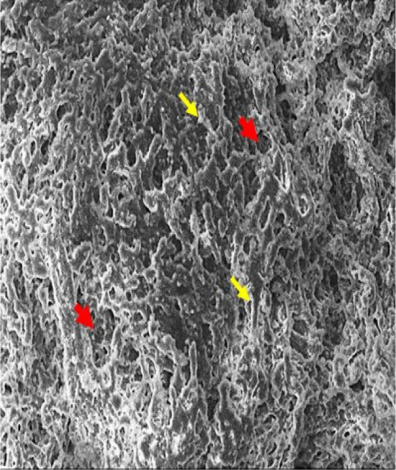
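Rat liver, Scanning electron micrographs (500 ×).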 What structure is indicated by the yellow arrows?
Thick collagen fiber bands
